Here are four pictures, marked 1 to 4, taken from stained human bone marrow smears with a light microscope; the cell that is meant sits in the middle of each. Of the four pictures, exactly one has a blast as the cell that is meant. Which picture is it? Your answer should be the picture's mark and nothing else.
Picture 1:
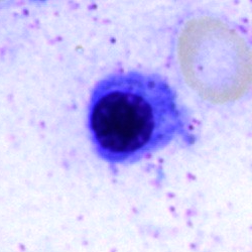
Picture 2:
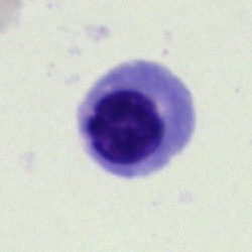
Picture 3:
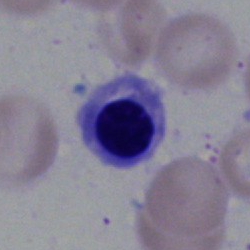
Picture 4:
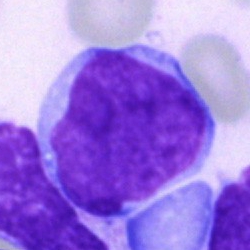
4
